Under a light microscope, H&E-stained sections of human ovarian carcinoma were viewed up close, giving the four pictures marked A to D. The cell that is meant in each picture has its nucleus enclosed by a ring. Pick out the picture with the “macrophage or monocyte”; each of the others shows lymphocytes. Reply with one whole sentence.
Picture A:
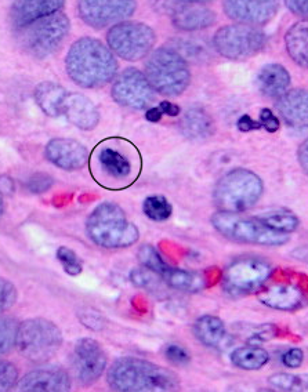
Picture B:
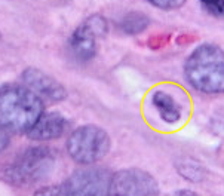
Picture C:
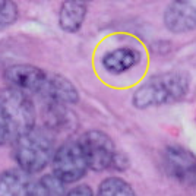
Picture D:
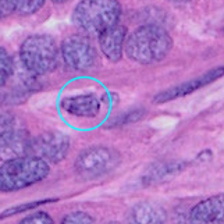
Picture D shows the “macrophage or monocyte”.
